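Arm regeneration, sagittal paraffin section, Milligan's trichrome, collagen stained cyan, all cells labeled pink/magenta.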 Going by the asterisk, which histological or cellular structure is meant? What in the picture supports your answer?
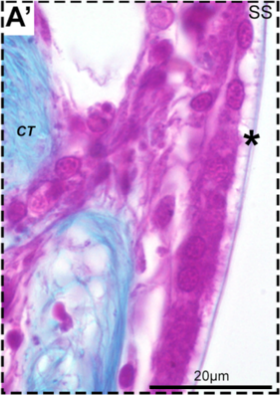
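A thin pale layer without nuclei lines the outer surface of the epithelium. The epithelium beneath it is a single thin sheet of pink cells.
Cuticle.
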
